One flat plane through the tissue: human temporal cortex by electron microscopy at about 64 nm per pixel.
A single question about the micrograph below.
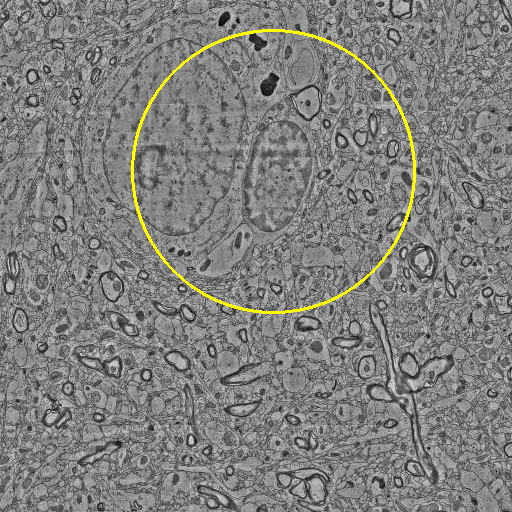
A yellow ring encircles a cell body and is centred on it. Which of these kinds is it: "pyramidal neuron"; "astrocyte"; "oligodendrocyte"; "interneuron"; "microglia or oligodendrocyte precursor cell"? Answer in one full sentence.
The cell body at the centre of the yellow ring belongs to an oligodendrocyte.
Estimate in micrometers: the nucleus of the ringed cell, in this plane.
The nucleus is approximately 7 micrometres long but only about 4 wide, clearly longer than it is wide in this plane.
